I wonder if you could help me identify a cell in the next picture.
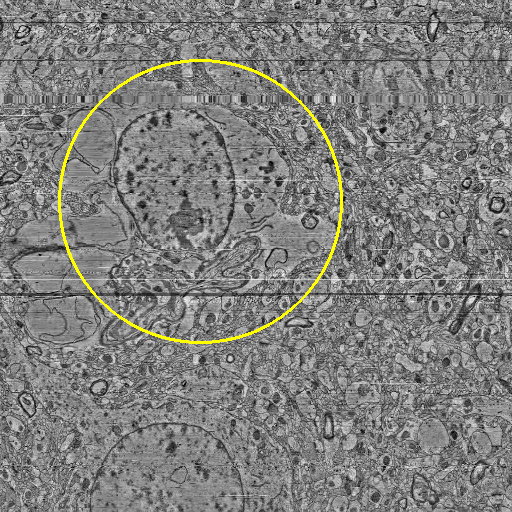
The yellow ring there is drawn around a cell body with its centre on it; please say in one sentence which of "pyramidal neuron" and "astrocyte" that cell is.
The yellow ring is centred on an astrocyte.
